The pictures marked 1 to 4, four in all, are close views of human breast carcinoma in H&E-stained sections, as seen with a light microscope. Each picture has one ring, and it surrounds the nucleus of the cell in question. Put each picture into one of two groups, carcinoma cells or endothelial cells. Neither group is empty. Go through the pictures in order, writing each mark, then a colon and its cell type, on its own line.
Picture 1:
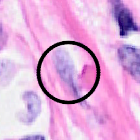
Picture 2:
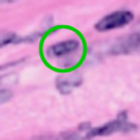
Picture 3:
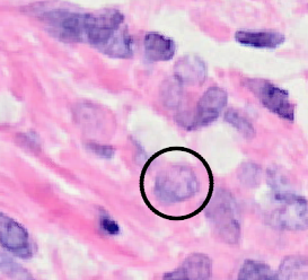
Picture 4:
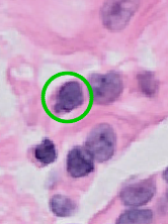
1: endothelial cell
2: endothelial cell
3: carcinoma cell
4: carcinoma cell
